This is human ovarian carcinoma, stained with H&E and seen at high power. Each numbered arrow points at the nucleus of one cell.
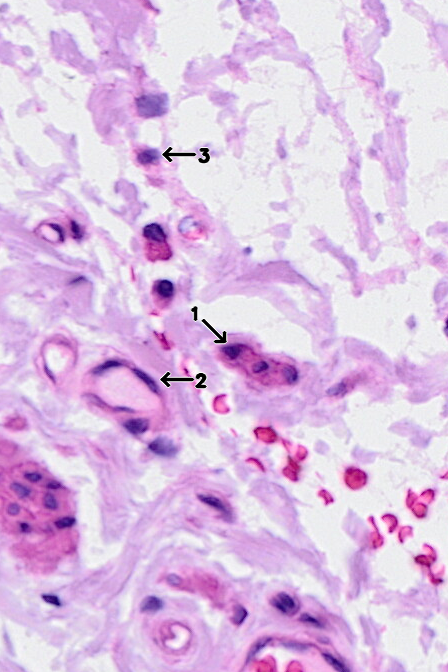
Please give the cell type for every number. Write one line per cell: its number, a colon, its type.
1: smooth muscle cell
2: endothelial cell
3: macrophage or monocyte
